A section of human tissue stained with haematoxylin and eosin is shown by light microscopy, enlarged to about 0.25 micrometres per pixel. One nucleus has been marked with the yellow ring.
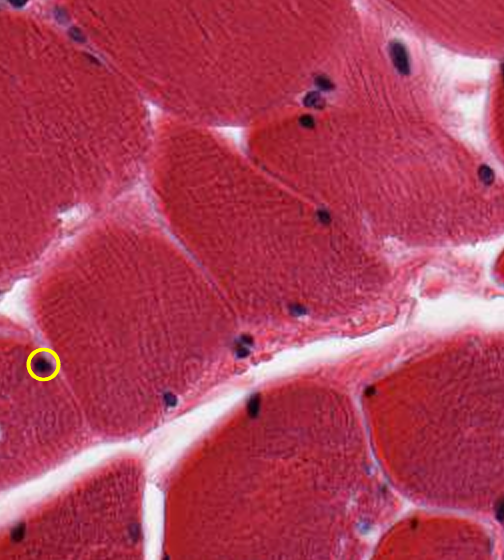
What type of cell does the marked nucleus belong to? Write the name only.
skeletal muscle fibre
